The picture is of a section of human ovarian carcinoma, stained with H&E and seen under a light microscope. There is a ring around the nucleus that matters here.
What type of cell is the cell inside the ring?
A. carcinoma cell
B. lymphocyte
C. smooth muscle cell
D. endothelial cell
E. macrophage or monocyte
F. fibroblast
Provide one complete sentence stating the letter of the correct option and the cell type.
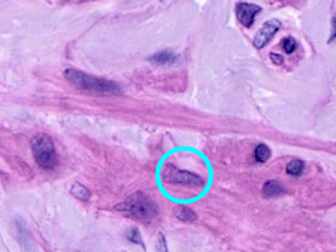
The proper choice here is C: the cell inside the ring is a smooth muscle cell.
